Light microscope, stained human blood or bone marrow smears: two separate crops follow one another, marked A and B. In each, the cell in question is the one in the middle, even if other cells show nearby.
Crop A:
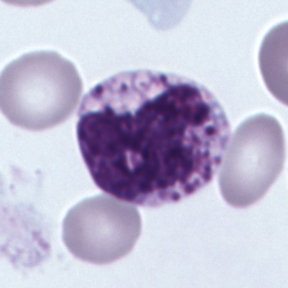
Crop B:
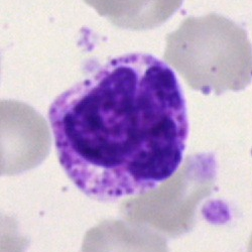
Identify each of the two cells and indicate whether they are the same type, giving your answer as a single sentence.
Yes, the cells under consideration in both crops are basophils.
